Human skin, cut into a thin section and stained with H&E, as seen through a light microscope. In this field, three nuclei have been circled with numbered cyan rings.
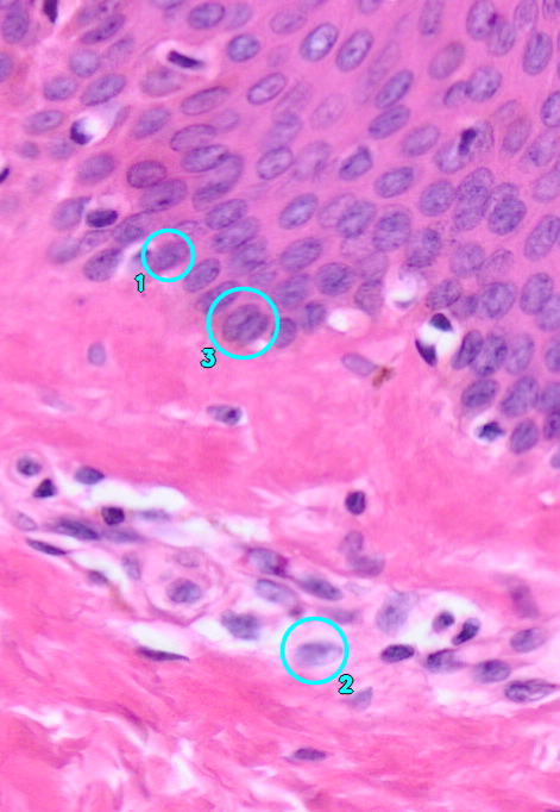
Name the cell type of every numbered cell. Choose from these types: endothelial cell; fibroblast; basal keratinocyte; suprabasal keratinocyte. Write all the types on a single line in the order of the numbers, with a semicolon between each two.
basal keratinocyte; fibroblast; basal keratinocyte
